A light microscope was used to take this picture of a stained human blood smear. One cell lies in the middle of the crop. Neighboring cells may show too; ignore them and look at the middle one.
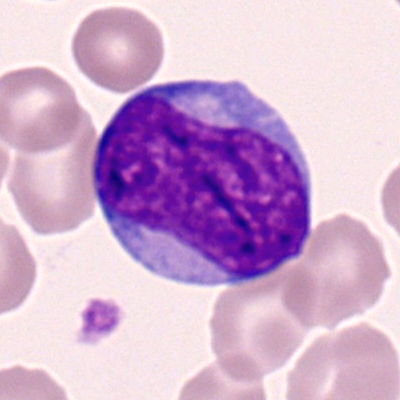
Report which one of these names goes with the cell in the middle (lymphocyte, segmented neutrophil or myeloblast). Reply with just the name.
myeloblast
